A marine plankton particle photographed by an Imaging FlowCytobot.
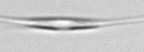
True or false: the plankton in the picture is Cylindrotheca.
True.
